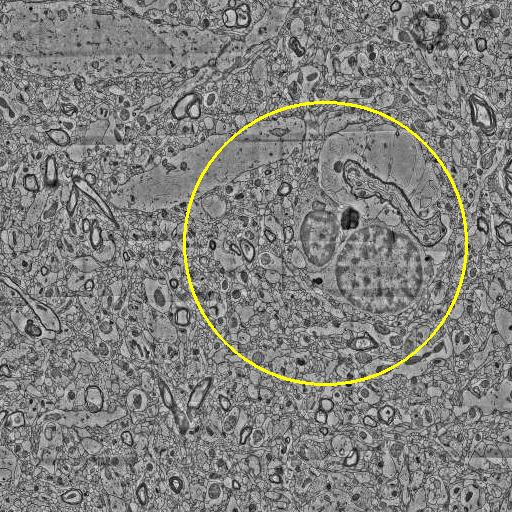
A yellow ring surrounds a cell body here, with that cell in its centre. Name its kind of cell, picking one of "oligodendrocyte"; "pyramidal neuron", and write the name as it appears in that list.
oligodendrocyte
